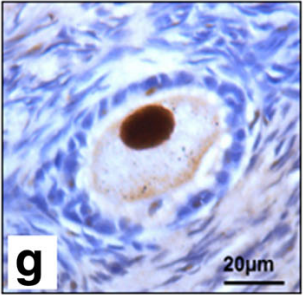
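Single follicle in ovarian cortex: an oocyte surrounded by a layer of granulosa cells in stroma. The oocyte nucleus is round and stained intensely dark brown; the surrounding ooplasm is pale with a faint brownish tint. Around the oocyte lies a pale zone, then a ring of small cells with blue, unstained nuclei, flattened to cuboidal. Outside this ring, spindle-shaped stromal cells with elongated blue nuclei wrap concentrically around the follicle.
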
